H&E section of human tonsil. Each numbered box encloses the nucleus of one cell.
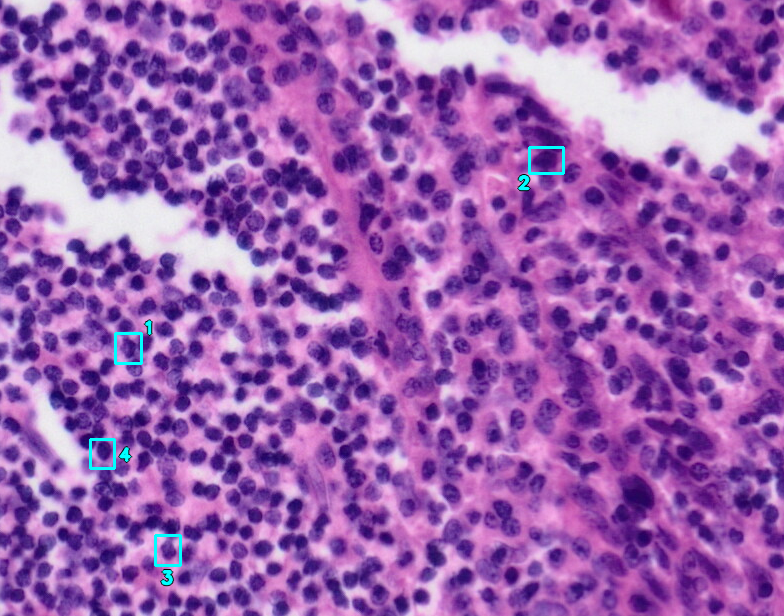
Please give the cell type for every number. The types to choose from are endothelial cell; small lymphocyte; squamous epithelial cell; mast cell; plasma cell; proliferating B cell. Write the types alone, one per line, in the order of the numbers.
small lymphocyte
squamous epithelial cell
small lymphocyte
small lymphocyte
